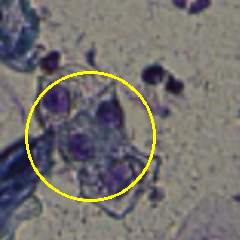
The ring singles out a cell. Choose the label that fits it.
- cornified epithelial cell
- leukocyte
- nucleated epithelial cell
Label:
nucleated epithelial cell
